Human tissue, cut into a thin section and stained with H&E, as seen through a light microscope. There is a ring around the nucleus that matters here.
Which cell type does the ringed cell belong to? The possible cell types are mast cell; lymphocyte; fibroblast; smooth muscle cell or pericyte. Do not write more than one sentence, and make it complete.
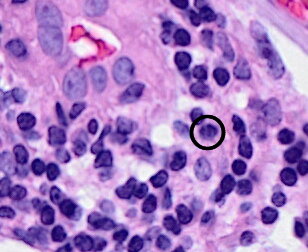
Placed in its cell category, the ringed cell is a lymphocyte.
